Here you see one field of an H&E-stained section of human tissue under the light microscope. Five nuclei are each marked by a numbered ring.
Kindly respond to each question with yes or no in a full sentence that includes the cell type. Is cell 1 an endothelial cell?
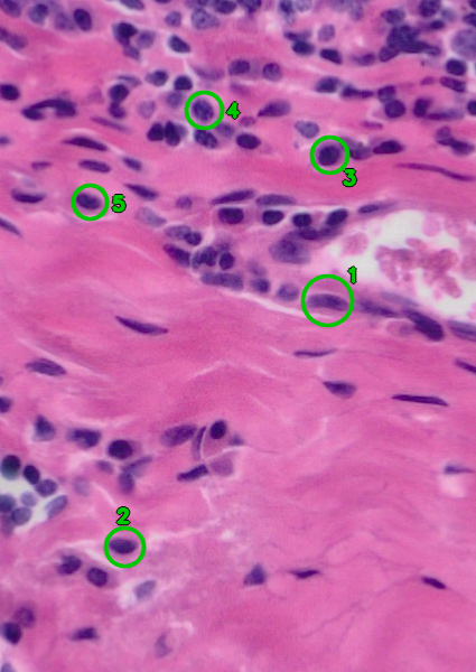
Yes, that one, number 1, is an endothelial cell.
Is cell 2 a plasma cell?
No, the cell bearing number 2 is not a plasma cell but a mast cell.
